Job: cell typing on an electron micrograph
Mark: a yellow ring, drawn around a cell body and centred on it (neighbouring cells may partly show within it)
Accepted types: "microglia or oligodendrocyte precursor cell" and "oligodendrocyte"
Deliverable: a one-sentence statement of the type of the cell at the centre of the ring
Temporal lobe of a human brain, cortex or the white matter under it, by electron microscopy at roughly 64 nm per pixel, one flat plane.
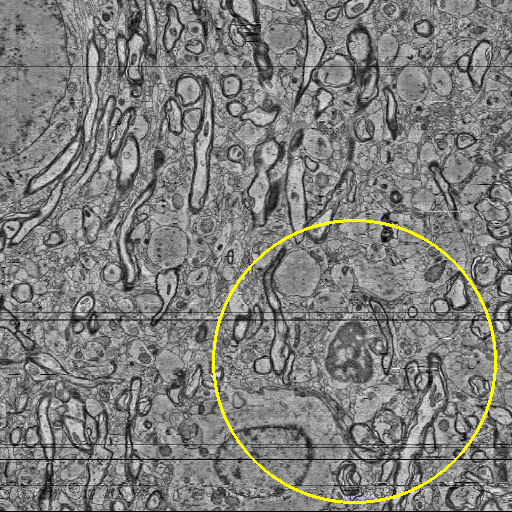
The centred cell body is that of a microglial cell or oligodendrocyte precursor cell.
